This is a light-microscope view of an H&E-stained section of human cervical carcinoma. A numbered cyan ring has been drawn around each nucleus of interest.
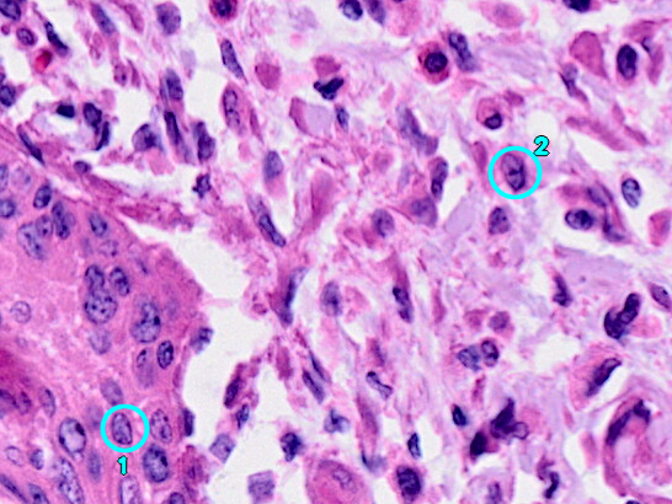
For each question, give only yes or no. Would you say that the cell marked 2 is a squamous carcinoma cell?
no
